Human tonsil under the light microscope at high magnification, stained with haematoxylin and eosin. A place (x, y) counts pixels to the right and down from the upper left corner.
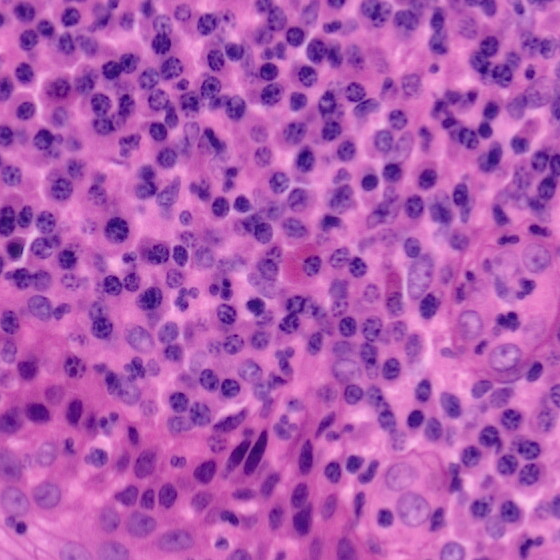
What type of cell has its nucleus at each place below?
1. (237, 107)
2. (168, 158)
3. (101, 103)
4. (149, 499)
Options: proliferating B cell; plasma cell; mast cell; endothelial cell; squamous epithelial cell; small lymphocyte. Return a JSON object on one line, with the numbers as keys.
{"1": "plasma cell", "2": "plasma cell", "3": "plasma cell", "4": "squamous epithelial cell"}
